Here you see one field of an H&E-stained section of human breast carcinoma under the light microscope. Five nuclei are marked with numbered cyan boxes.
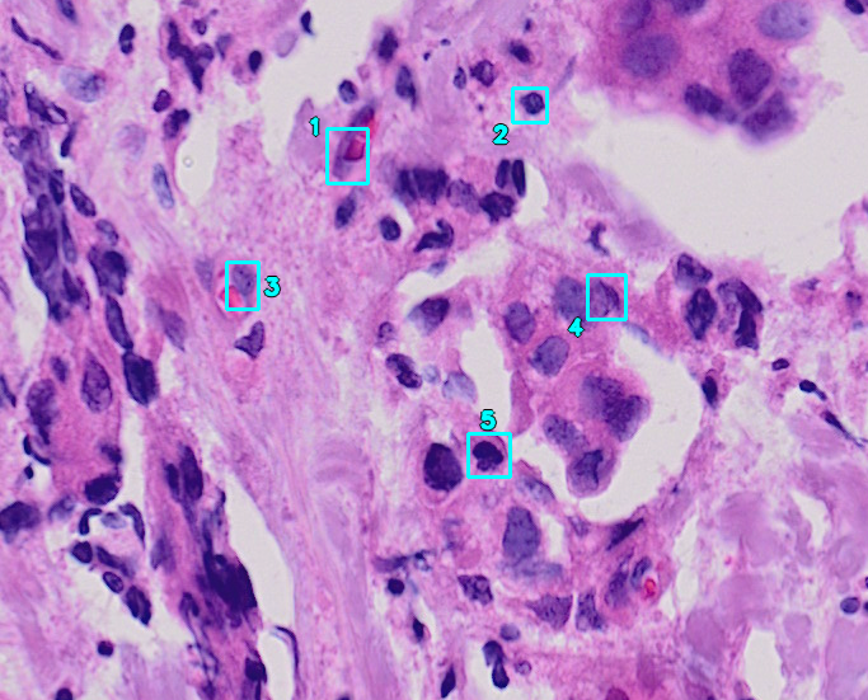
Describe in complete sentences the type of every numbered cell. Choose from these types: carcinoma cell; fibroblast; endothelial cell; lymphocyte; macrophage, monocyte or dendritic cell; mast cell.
Cell 1 is an endothelial cell, cell 2 is a lymphocyte, cell 3 is an endothelial cell, cell 4 is a carcinoma cell and cell 5 is a carcinoma cell.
